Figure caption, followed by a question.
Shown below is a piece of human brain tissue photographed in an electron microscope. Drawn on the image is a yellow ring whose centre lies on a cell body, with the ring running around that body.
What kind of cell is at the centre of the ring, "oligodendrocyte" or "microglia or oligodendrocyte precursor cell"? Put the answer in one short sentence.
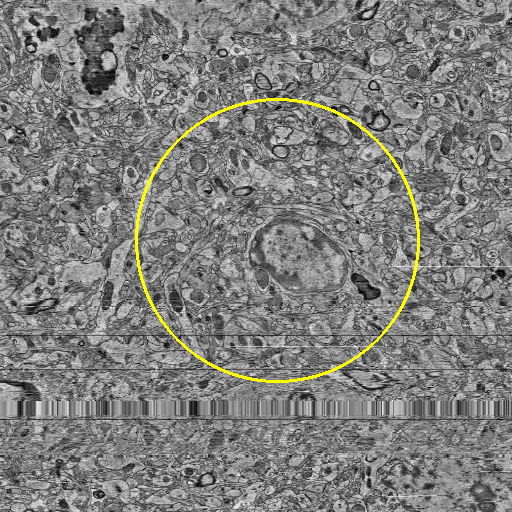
The ring marks the cell body of a microglial cell or oligodendrocyte precursor cell.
